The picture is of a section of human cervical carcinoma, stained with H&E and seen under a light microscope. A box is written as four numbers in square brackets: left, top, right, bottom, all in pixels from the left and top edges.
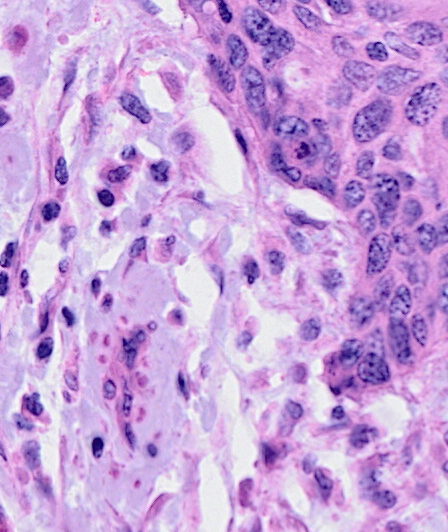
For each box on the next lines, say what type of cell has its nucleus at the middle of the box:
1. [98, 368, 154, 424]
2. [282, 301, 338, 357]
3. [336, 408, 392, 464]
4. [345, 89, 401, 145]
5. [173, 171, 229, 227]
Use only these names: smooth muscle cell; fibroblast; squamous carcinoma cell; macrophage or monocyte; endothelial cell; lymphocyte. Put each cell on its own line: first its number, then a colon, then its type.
1: endothelial cell
2: macrophage or monocyte
3: macrophage or monocyte
4: squamous carcinoma cell
5: fibroblast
